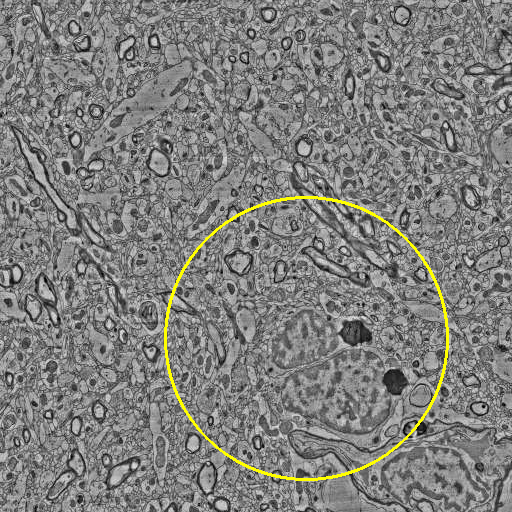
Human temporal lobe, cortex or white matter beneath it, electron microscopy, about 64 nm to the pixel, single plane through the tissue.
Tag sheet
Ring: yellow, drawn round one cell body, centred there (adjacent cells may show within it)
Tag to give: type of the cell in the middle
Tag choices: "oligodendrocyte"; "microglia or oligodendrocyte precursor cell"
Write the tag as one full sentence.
I tag the cell centred in the yellow ring as an oligodendrocyte in this picture.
